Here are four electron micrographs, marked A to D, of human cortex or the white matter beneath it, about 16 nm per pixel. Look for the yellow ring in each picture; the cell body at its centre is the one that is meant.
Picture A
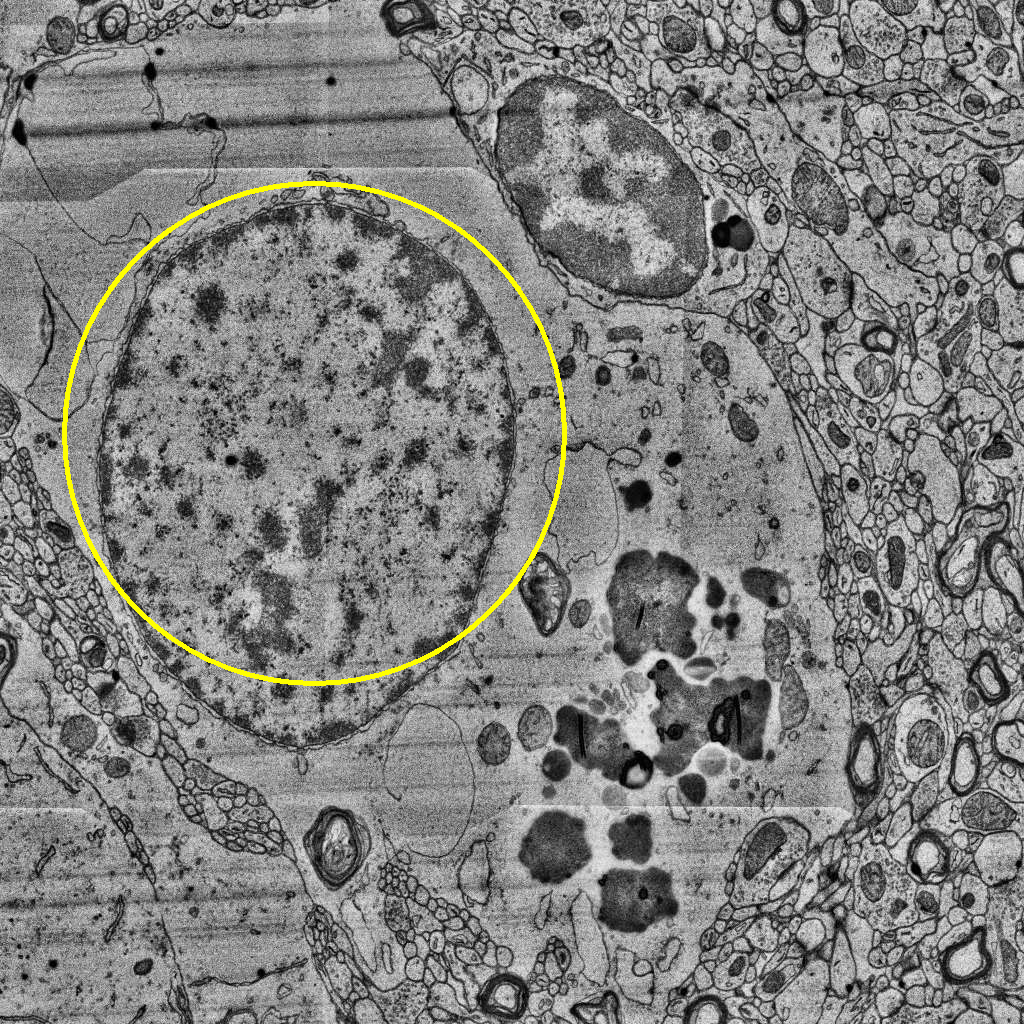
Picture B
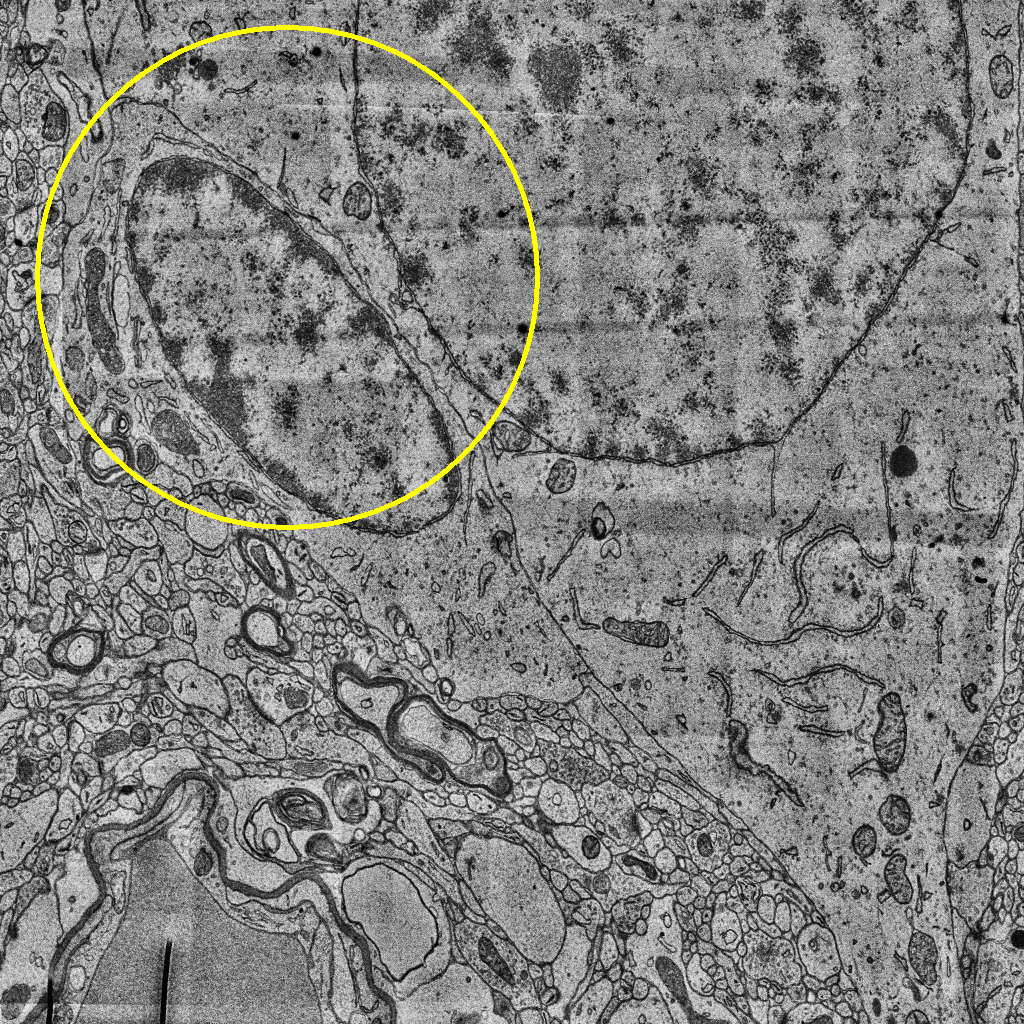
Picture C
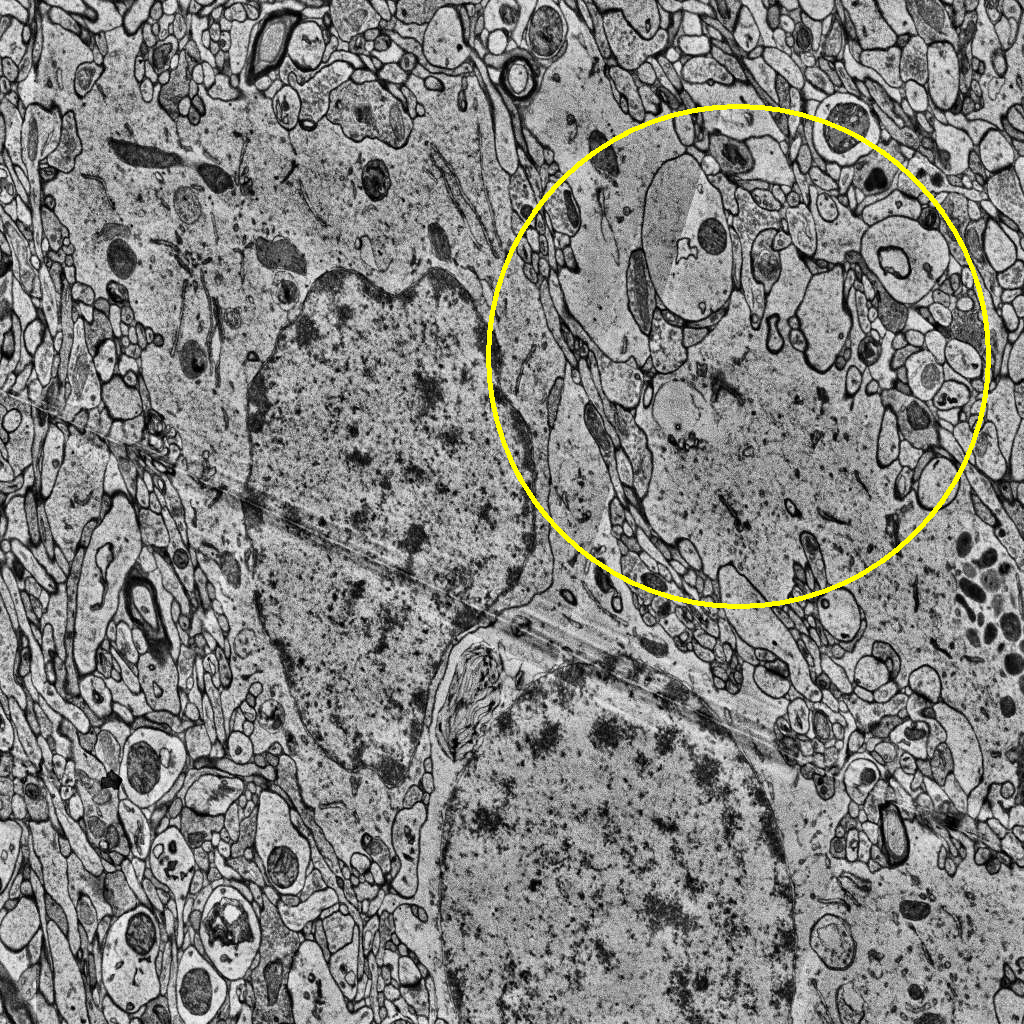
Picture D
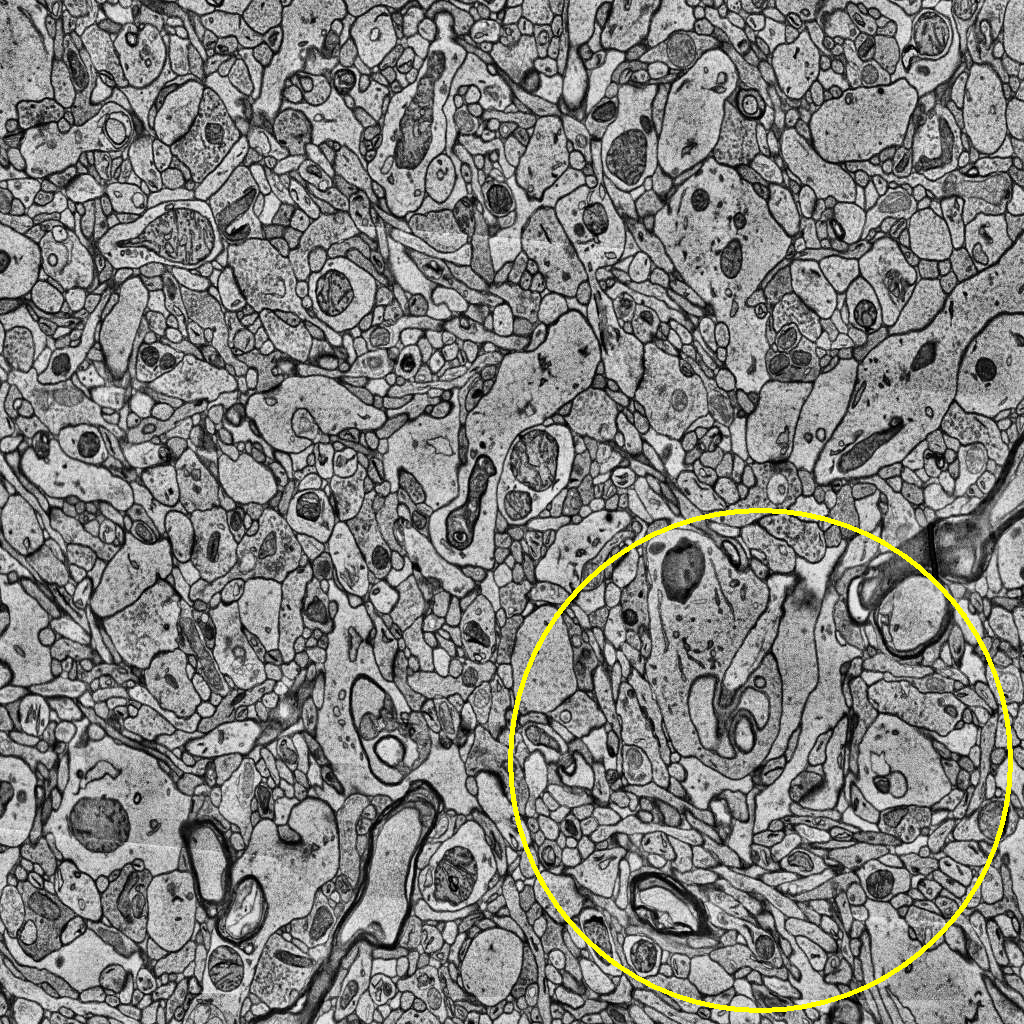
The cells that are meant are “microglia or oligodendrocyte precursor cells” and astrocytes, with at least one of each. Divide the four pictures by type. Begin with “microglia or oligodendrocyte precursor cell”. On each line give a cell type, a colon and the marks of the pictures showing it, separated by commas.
microglia or oligodendrocyte precursor cell: B, D
astrocyte: A, C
